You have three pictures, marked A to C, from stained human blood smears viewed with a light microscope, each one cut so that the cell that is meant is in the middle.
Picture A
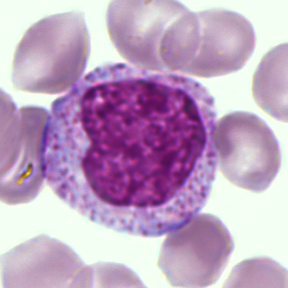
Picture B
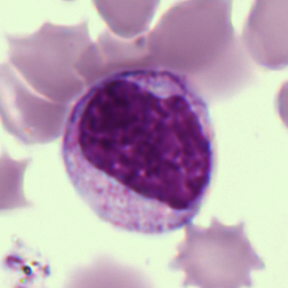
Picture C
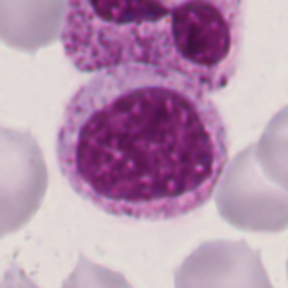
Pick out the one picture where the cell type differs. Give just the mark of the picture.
B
